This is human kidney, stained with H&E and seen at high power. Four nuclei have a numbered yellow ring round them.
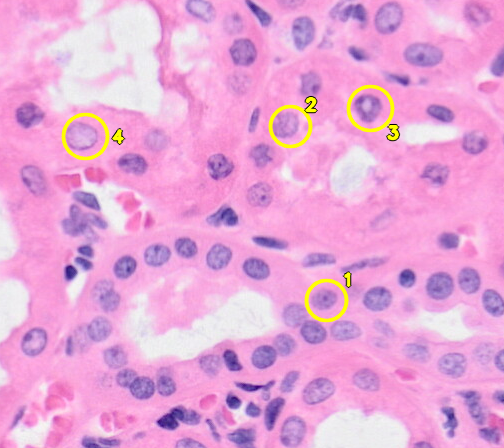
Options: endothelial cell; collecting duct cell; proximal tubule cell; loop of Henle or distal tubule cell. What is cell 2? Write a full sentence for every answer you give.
In this section, number 2 marks a proximal tubule cell.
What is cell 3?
The mark numbered 3 indicates the nucleus of a proximal tubule cell.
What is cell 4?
In this section, the cell numbered 4 is a proximal tubule cell.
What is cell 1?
Corresponding to a collecting duct cell is the cell labelled 1.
